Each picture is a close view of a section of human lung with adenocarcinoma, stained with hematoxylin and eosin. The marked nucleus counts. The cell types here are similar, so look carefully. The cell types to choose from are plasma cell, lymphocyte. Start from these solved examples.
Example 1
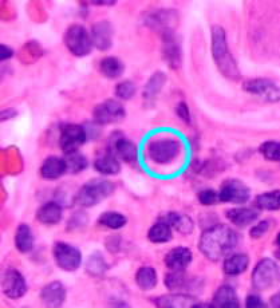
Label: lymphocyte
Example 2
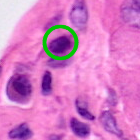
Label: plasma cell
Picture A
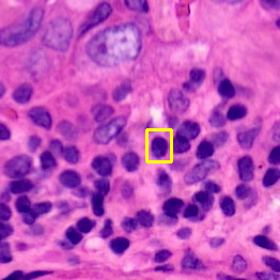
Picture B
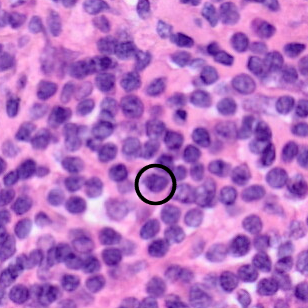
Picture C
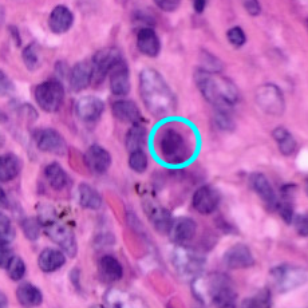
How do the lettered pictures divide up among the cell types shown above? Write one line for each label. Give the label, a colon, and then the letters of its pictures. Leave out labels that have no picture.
plasma cell: C
lymphocyte: A, B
